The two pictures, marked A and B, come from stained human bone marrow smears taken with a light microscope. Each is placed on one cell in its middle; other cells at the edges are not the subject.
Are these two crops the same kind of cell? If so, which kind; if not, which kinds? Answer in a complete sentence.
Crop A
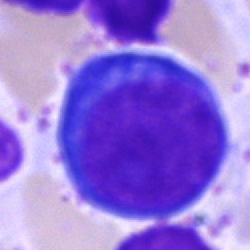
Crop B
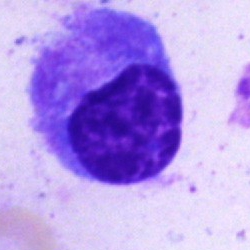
No, a proerythroblast is shown in crop A and a plasma cell in crop B.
